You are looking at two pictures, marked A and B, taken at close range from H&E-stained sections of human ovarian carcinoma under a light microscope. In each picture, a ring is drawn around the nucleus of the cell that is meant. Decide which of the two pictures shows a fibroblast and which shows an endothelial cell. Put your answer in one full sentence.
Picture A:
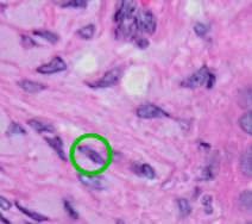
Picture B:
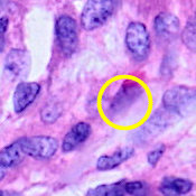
Picture B shows an endothelial cell, while picture A shows a fibroblast.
